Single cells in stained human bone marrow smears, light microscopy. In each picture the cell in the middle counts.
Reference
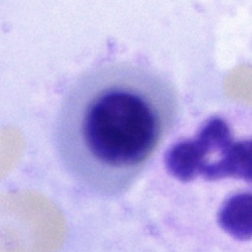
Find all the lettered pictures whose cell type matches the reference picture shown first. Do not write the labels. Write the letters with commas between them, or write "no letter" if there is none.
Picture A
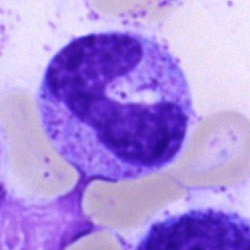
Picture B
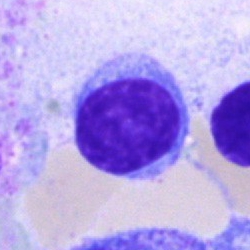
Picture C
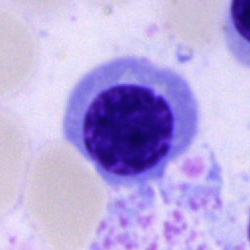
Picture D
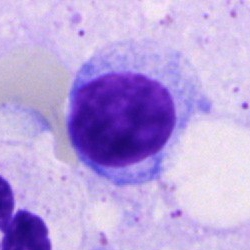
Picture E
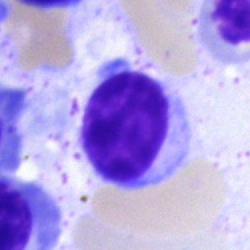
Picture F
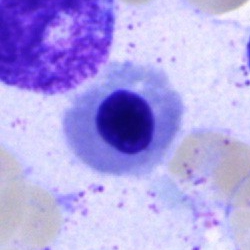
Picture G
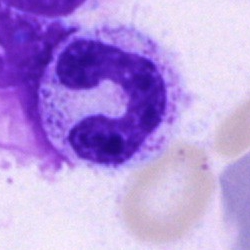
C, F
